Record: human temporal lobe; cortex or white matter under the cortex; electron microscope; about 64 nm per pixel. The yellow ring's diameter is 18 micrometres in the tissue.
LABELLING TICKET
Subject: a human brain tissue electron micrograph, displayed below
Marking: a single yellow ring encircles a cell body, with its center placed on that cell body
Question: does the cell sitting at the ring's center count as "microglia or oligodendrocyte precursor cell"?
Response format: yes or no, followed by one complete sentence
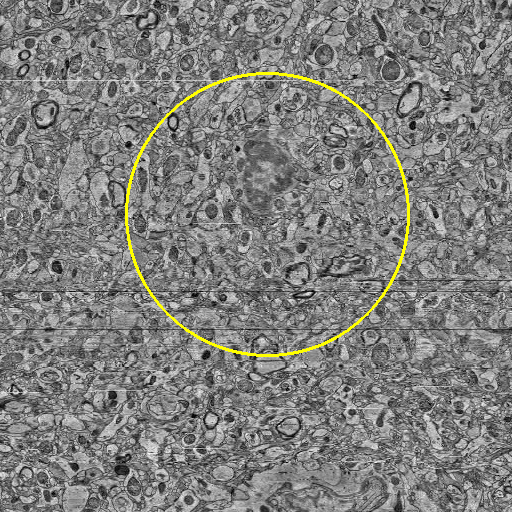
No, the cell at the center of the ring in the picture belongs to another kind.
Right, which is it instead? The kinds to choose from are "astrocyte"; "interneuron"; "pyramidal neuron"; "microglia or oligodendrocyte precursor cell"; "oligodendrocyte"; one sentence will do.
The cell at the middle of the ring is an oligodendrocyte.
